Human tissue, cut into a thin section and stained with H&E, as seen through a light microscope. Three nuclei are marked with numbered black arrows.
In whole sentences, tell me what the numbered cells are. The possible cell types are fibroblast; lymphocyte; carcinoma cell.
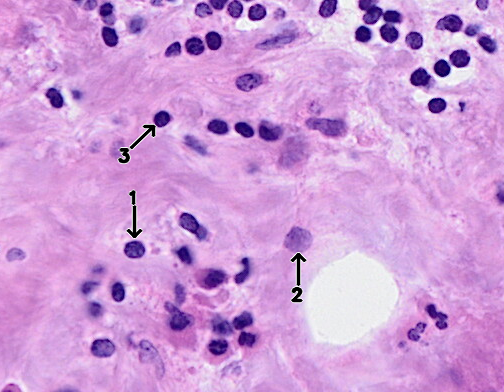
Cell 1 is a lymphocyte, cell 2 is a fibroblast and cell 3 is a lymphocyte.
